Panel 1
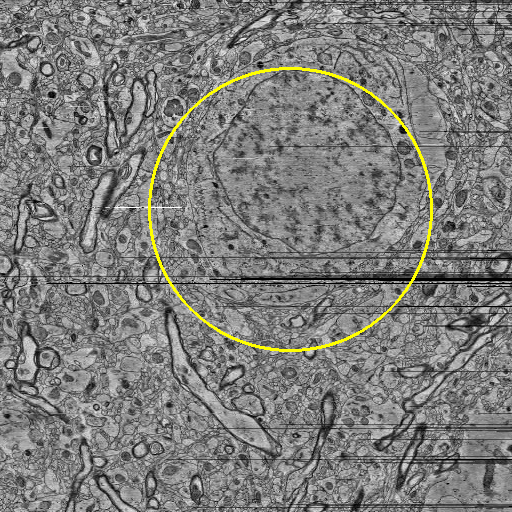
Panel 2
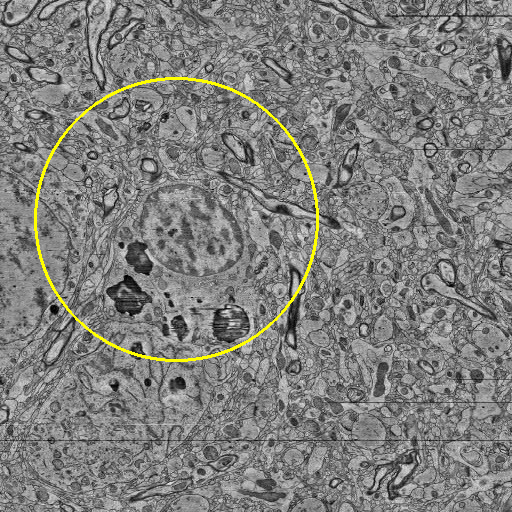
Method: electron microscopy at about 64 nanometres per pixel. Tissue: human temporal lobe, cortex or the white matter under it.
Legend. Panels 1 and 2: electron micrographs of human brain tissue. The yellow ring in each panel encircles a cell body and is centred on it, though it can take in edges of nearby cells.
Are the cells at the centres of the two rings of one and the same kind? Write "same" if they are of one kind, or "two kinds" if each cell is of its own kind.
two kinds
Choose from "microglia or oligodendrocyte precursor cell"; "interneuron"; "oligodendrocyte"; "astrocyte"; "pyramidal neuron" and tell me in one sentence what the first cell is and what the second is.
What the first ring is centred on is a pyramidal neuron; what the second ring is centred on is an oligodendrocyte.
